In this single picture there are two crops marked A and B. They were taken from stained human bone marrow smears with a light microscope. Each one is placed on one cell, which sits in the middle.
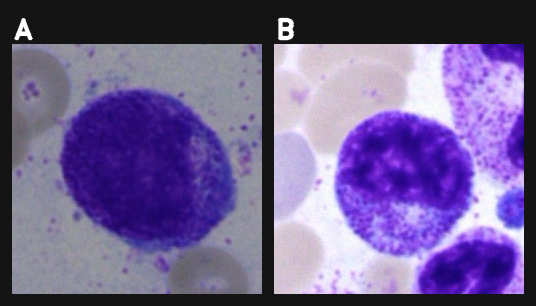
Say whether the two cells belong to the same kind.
yes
